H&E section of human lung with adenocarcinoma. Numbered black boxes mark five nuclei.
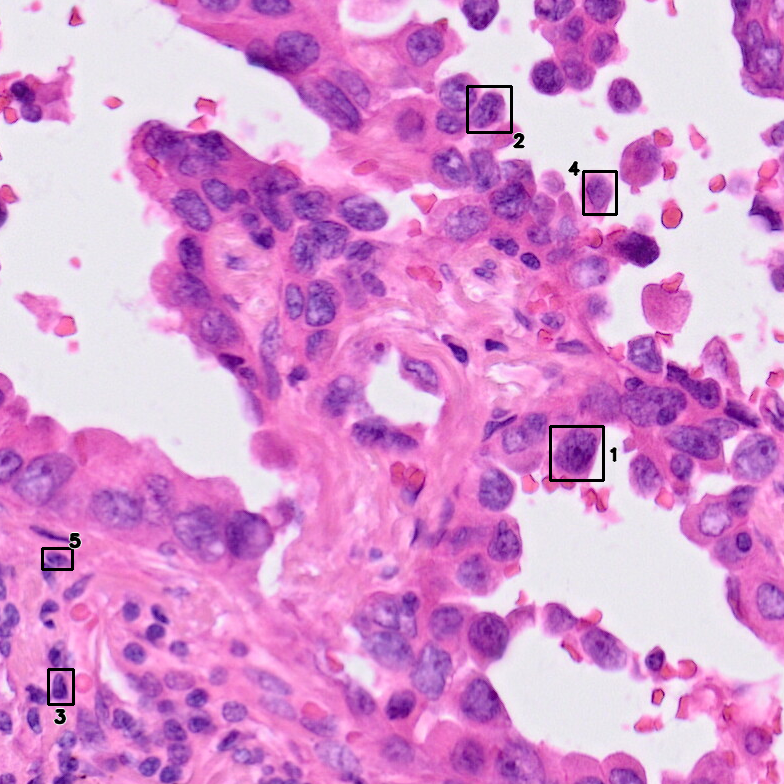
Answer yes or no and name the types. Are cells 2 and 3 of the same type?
No, cell 2 is a carcinoma cell and cell 3 is a lymphocyte.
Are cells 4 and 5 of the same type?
No, cell 4 is a carcinoma cell and cell 5 is a lymphocyte.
